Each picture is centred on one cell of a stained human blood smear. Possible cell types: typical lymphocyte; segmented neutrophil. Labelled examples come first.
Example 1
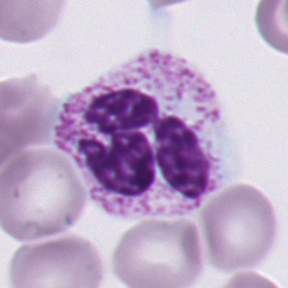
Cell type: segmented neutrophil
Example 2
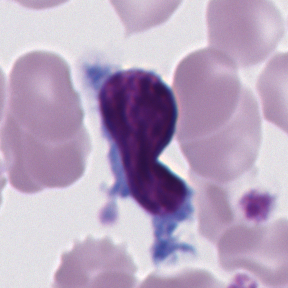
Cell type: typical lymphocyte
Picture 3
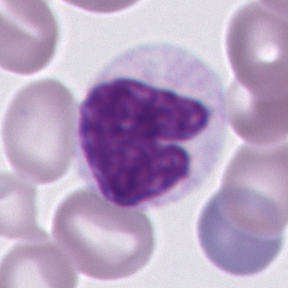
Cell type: segmented neutrophil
